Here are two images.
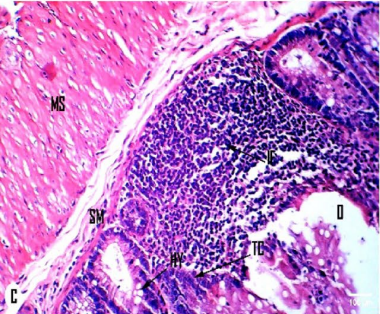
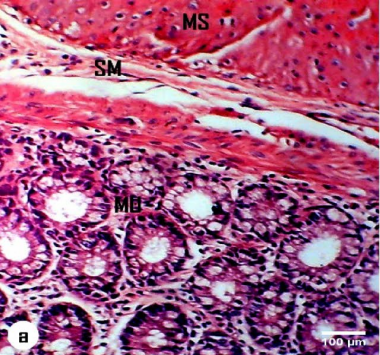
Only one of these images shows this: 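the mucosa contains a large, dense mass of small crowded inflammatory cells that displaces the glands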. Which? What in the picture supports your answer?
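The first image. First image: a broad sheet of densely packed small dark-blue nuclei fills much of the mucosa between scattered glands. Second image: regularly spaced round glands sit in a thin lamina propria without a dense cell mass.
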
